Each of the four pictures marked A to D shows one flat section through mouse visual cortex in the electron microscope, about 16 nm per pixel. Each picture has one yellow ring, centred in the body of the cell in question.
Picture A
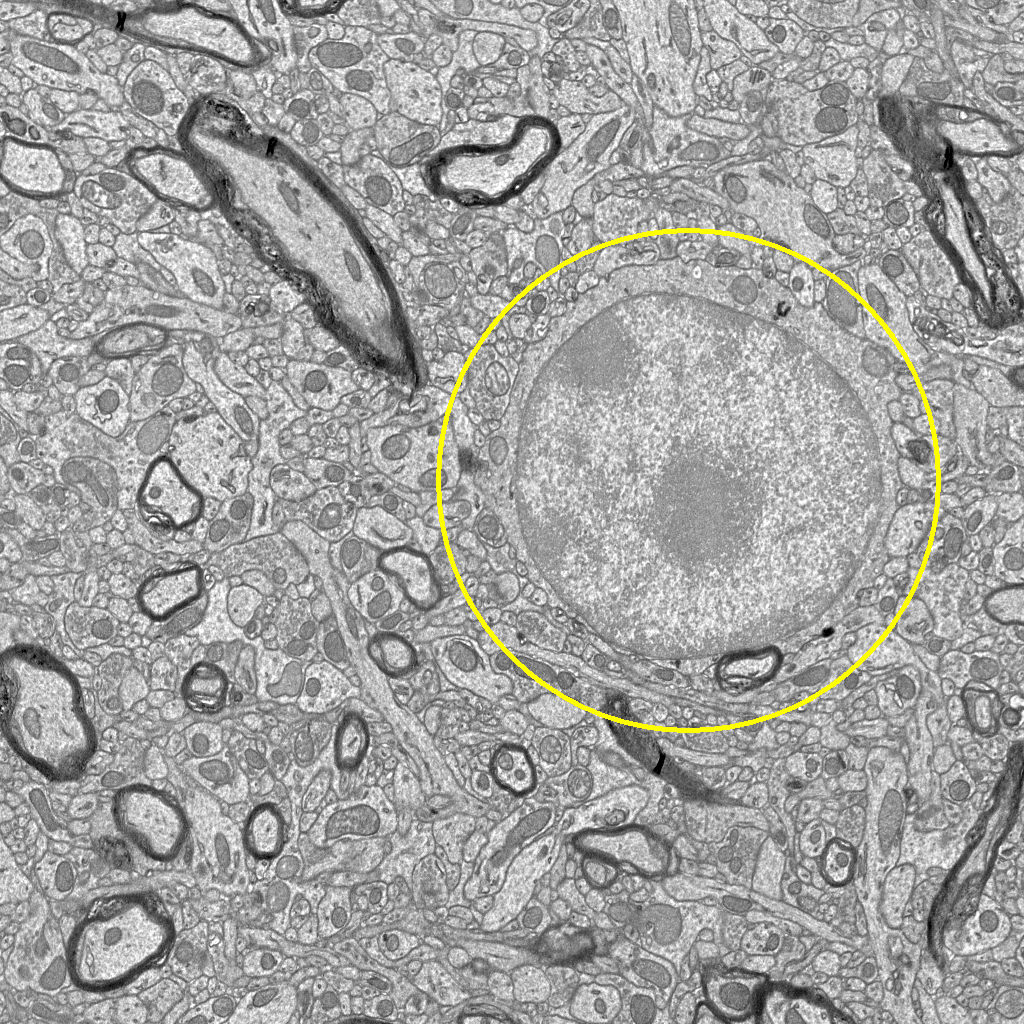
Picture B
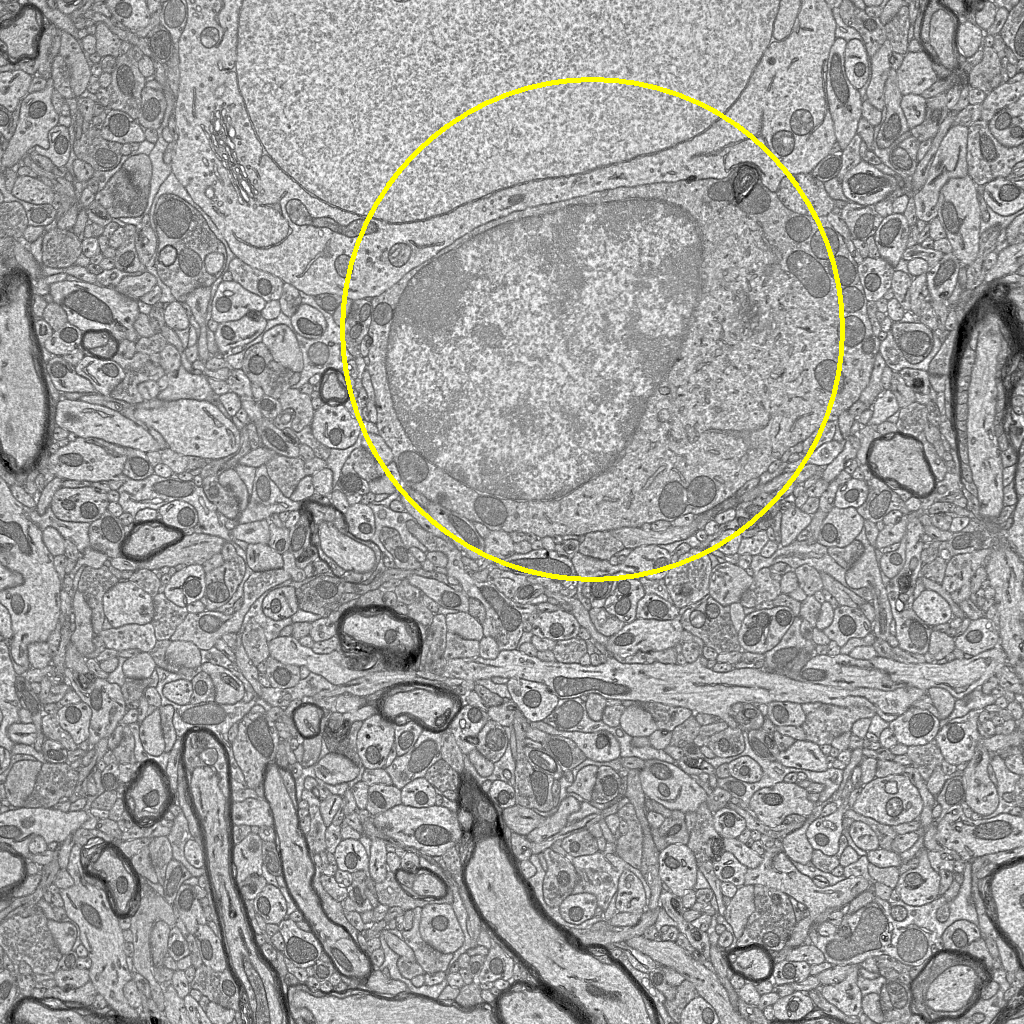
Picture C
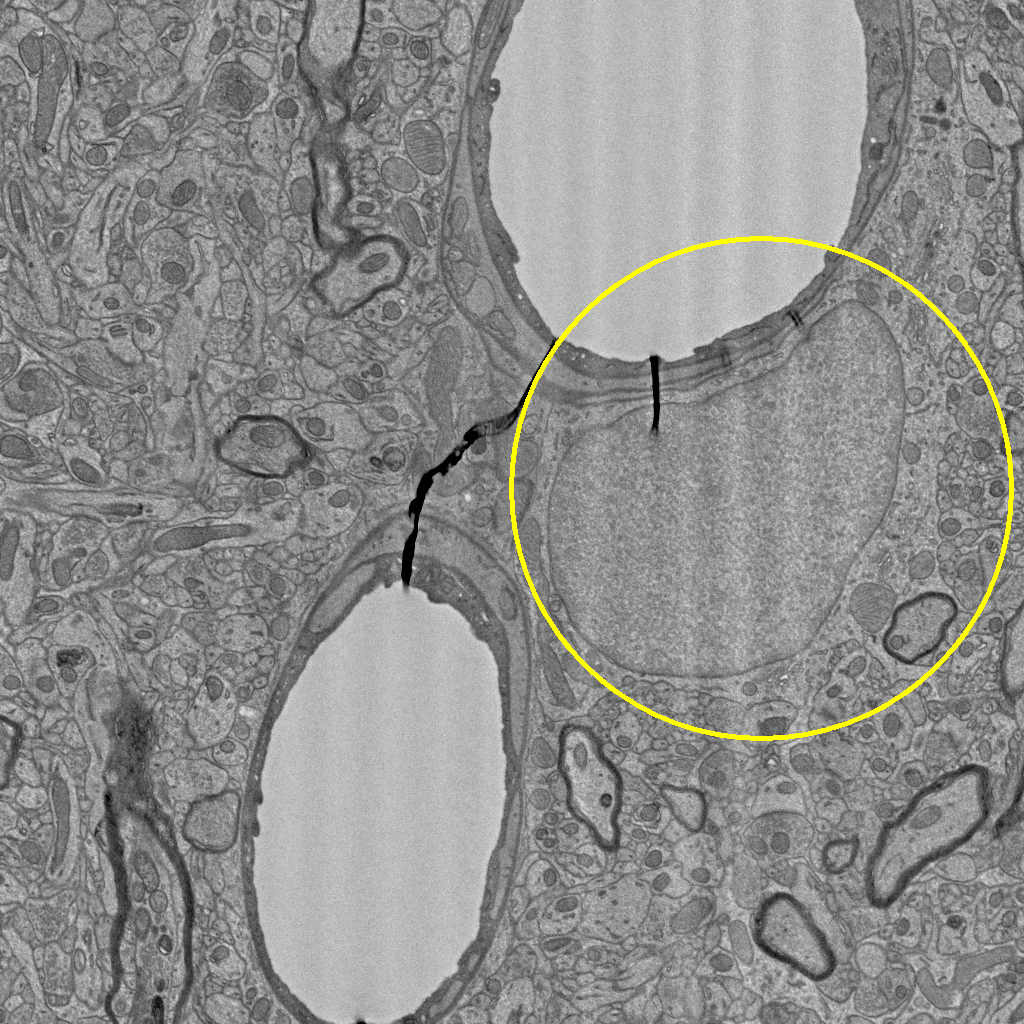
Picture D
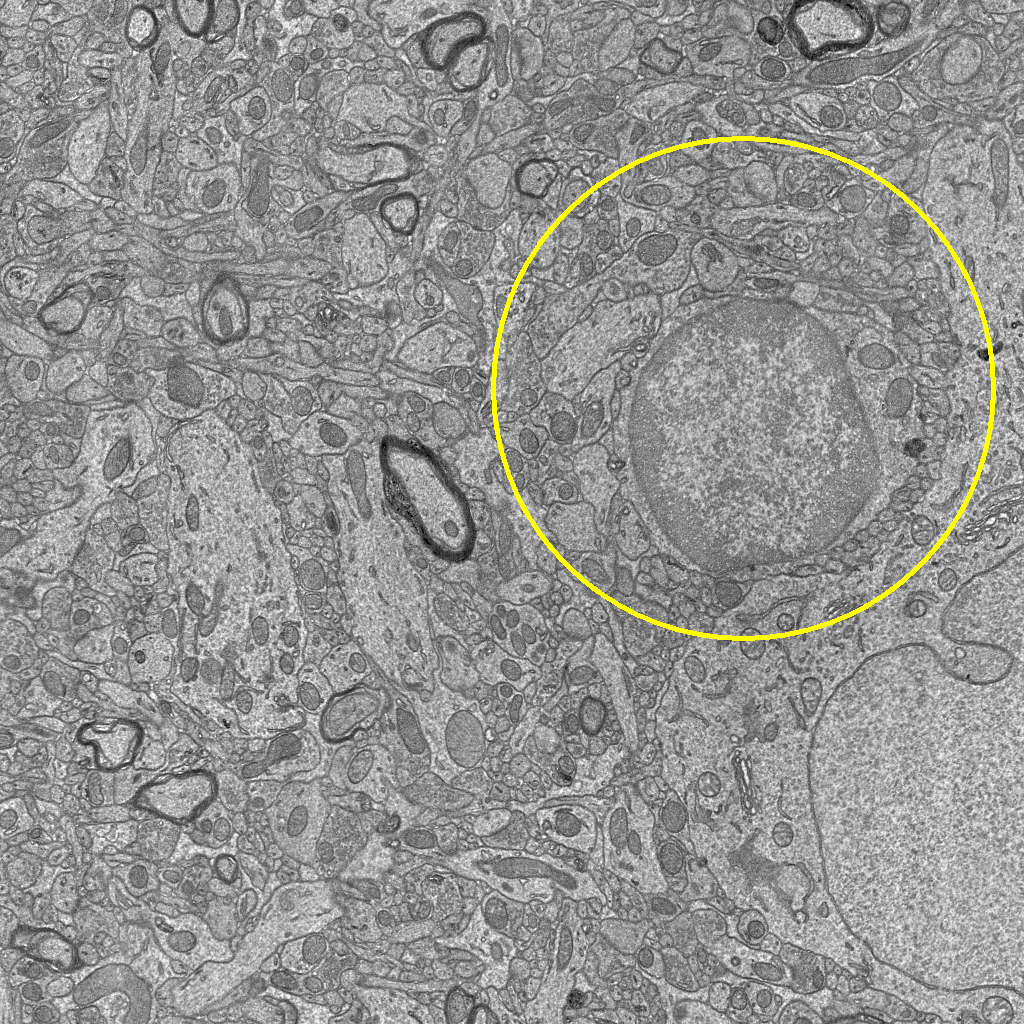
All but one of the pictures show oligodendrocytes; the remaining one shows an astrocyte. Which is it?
Picture C shows the astrocyte.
